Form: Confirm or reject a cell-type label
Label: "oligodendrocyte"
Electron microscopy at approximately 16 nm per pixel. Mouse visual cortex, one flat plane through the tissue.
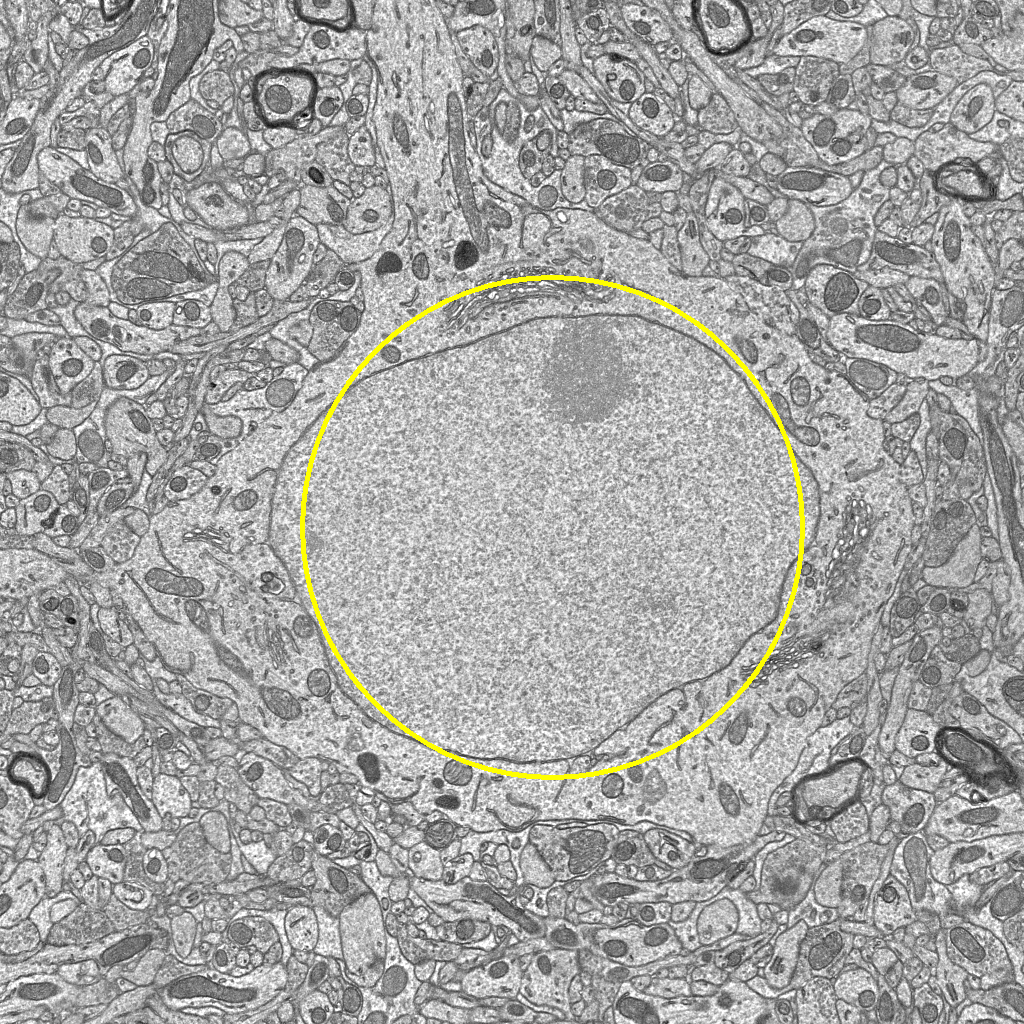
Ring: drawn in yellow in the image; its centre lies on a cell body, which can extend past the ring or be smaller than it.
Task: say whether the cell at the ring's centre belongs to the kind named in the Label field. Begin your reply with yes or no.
No, it belongs to another kind.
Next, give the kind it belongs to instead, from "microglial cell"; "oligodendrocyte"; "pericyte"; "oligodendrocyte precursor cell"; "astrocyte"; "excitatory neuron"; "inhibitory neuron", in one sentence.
It is an excitatory neuron at the centre of the ring.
